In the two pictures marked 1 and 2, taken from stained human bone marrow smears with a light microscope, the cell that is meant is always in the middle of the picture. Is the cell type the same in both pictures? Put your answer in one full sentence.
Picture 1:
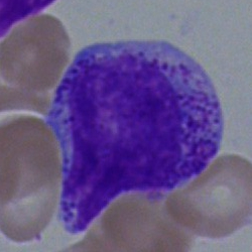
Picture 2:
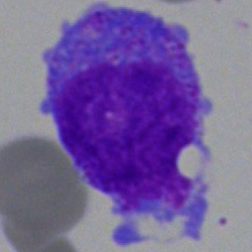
No, they differ: the cell is a myelocyte in picture 1 and a monocyte in picture 2.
